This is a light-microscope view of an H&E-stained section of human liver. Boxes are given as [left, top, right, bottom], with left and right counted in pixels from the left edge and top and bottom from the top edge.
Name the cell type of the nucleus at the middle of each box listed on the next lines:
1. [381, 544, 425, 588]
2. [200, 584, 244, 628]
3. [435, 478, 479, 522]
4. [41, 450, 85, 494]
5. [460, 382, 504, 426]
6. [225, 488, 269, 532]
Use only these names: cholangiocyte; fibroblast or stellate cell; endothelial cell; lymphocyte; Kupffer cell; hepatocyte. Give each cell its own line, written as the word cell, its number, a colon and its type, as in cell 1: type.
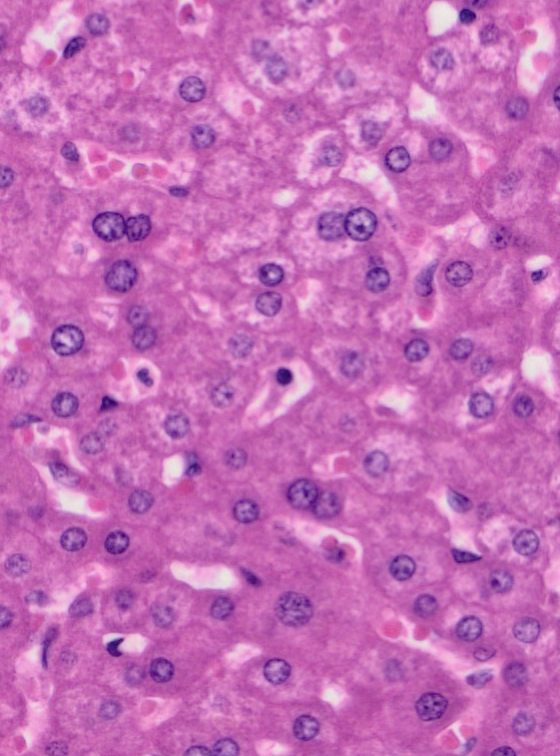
cell 1: hepatocyte
cell 2: hepatocyte
cell 3: endothelial cell
cell 4: Kupffer cell
cell 5: hepatocyte
cell 6: hepatocyte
